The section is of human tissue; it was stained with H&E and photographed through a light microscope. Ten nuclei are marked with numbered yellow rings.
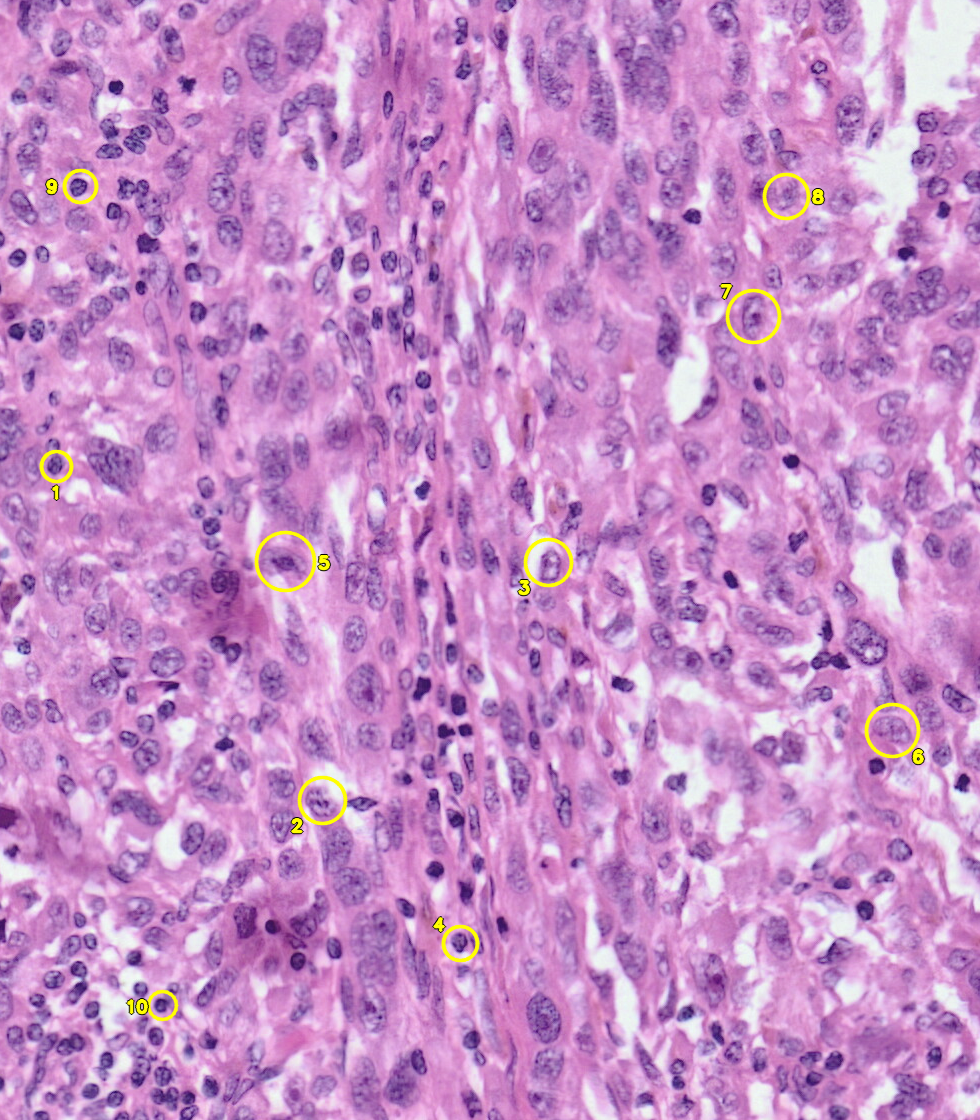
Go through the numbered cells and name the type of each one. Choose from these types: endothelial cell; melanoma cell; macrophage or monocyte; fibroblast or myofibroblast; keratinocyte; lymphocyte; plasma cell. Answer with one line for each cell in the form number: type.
1: lymphocyte
2: melanoma cell
3: melanoma cell
4: lymphocyte
5: melanoma cell
6: melanoma cell
7: melanoma cell
8: melanoma cell
9: lymphocyte
10: lymphocyte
